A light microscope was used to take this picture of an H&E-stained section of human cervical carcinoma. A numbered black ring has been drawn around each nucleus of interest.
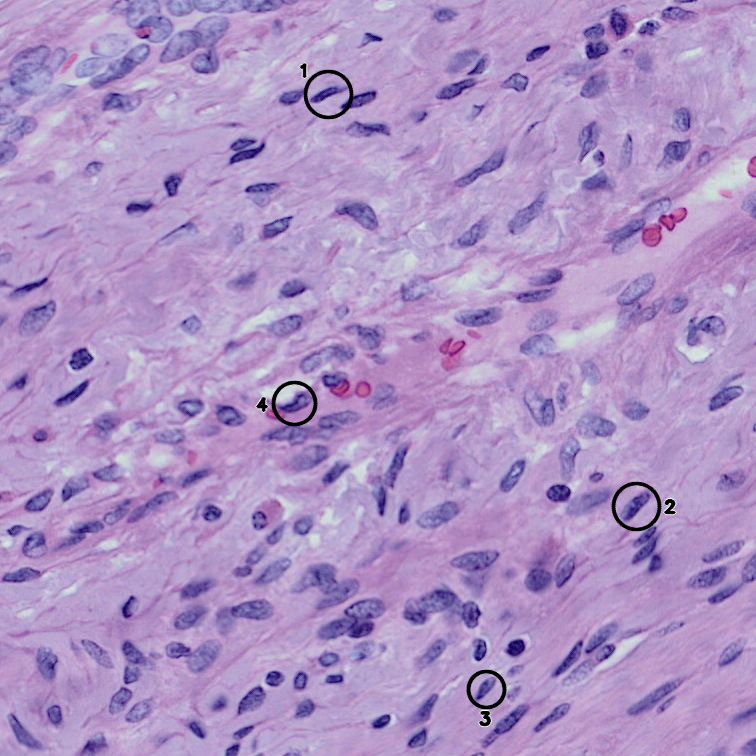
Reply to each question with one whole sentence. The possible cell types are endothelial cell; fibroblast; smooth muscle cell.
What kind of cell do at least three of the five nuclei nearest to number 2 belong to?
The majority of the five nuclei closest to number 2 belong to fibroblasts.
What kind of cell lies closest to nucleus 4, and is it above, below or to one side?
An endothelial cell lies closest, below nucleus 4.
